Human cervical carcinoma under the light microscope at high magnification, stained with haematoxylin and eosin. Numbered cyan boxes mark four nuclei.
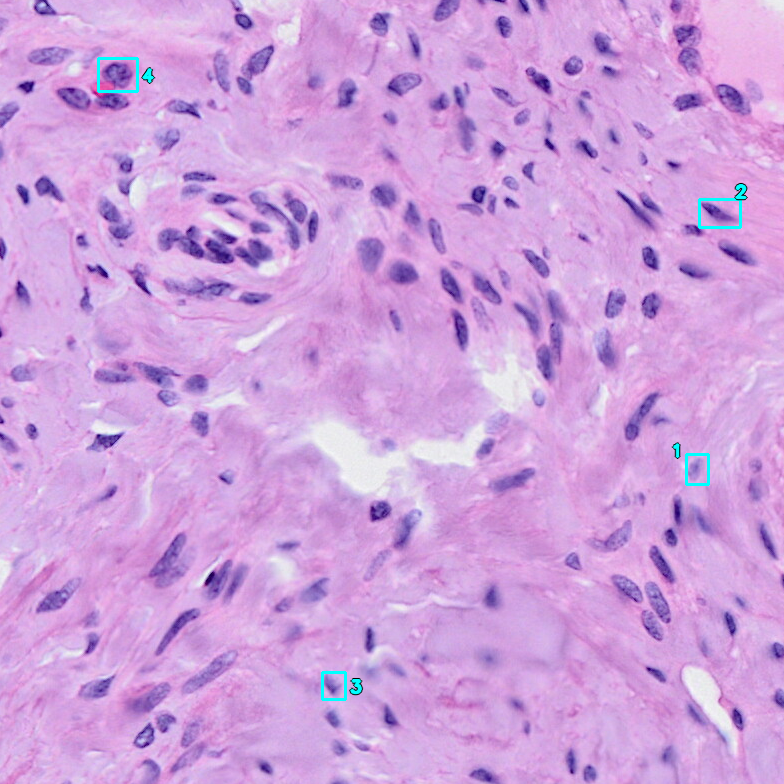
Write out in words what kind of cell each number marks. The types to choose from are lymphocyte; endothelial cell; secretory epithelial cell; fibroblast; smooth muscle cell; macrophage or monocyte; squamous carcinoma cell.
Cell 1 is a fibroblast, cell 2 is a fibroblast, cell 3 is a fibroblast and cell 4 is an endothelial cell.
